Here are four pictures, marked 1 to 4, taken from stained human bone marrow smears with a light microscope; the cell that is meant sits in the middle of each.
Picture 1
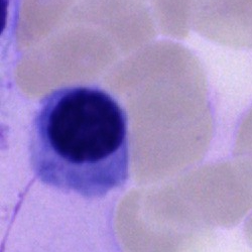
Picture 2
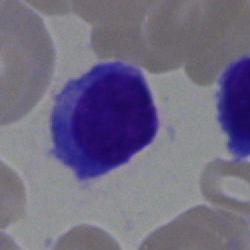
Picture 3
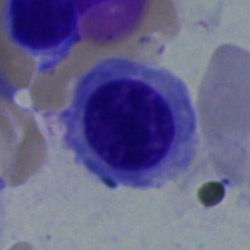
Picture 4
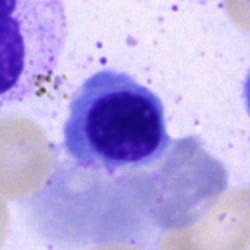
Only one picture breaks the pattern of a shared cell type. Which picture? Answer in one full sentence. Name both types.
The different one is picture 2; it shows a plasma cell, whereas all the others show erythroblasts.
